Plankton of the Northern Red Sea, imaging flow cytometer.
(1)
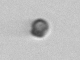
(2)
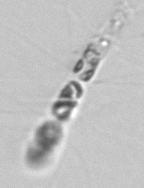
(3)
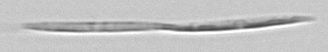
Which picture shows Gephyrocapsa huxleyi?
Picture 1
